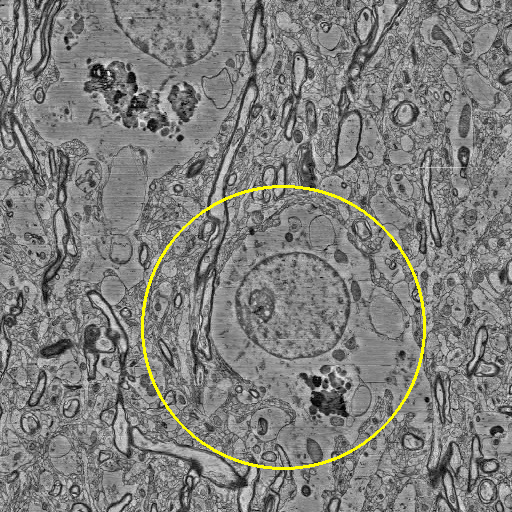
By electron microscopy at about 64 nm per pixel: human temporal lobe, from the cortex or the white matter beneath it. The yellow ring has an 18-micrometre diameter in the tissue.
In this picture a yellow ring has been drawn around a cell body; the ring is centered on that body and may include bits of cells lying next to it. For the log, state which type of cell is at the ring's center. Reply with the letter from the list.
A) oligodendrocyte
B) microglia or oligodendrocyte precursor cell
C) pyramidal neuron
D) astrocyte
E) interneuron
D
